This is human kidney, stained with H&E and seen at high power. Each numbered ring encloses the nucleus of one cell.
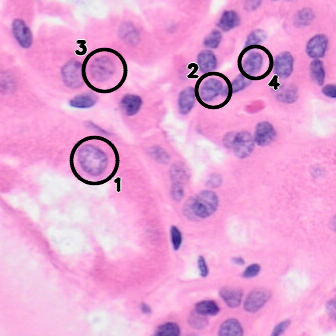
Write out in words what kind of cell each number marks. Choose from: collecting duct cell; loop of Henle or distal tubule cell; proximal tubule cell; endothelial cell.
Cell 1 is a proximal tubule cell, cell 2 is a collecting duct cell, cell 3 is a proximal tubule cell and cell 4 is a collecting duct cell.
